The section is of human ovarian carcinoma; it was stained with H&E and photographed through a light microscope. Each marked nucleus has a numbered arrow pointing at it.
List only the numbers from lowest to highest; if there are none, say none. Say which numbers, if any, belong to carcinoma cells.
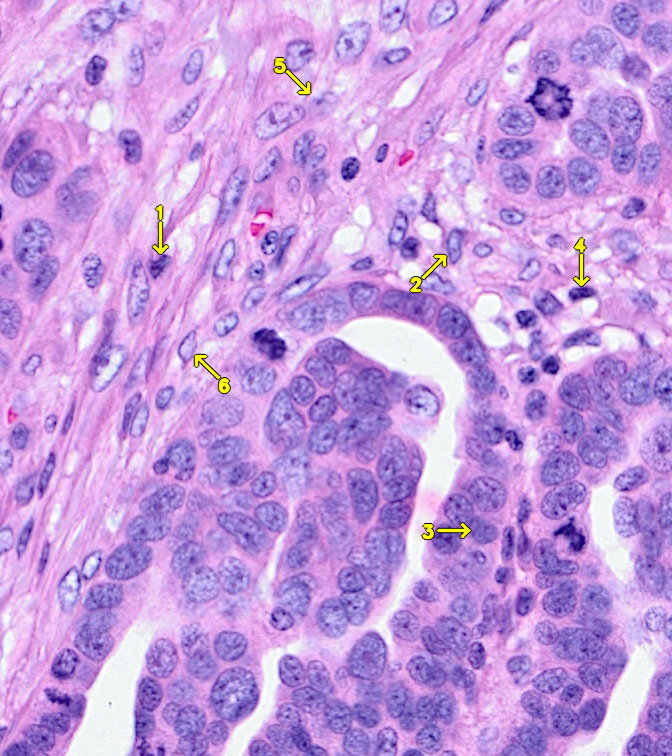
3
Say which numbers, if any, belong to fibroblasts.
2, 5, 6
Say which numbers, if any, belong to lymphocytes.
4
